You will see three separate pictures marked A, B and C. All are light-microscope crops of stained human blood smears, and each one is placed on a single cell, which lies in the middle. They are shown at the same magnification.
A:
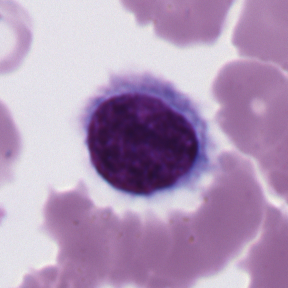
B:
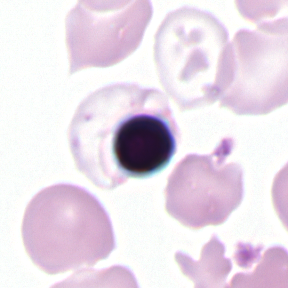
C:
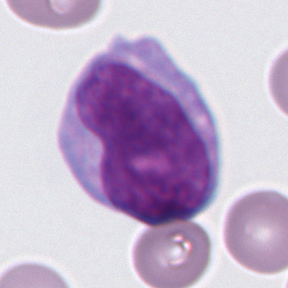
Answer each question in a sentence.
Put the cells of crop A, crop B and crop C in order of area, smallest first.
From the smallest up, the order is B, A, C.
